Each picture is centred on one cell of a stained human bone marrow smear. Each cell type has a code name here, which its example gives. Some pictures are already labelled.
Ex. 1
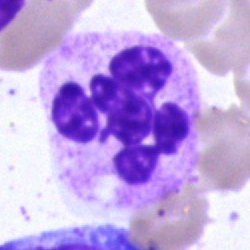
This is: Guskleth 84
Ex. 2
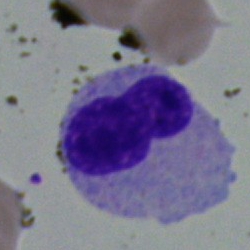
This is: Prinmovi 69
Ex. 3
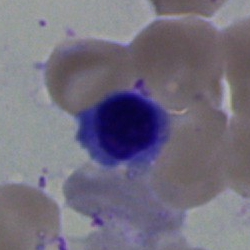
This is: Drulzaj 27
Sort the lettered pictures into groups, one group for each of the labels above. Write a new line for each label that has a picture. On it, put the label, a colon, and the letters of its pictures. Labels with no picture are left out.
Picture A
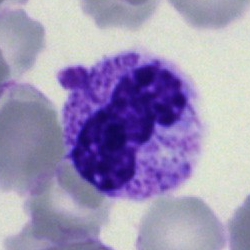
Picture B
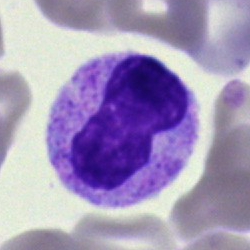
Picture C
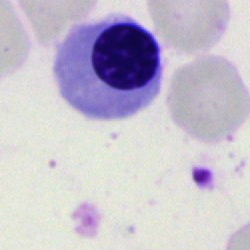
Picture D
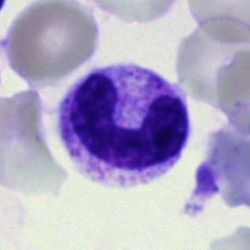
Guskleth 84: A
Prinmovi 69: B, D
Drulzaj 27: C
